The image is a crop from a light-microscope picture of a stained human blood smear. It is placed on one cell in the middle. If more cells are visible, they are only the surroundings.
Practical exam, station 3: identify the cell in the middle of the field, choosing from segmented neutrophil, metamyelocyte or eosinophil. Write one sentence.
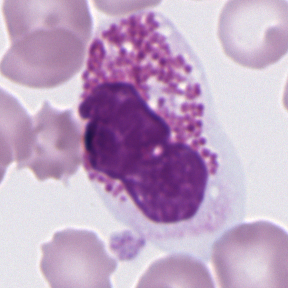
Occupying the centre of the crop is an eosinophil.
